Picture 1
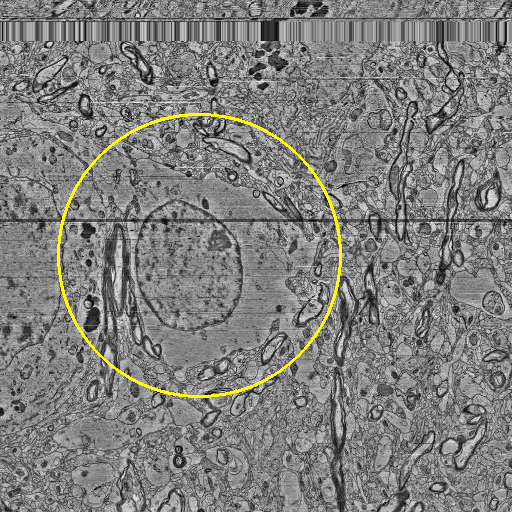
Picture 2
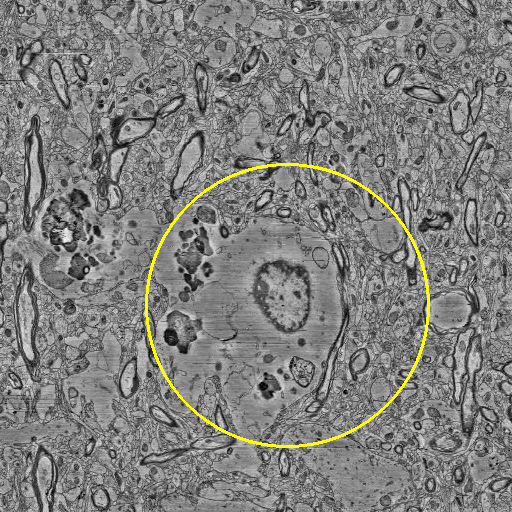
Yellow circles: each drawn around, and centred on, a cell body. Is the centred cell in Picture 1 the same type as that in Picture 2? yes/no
yes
